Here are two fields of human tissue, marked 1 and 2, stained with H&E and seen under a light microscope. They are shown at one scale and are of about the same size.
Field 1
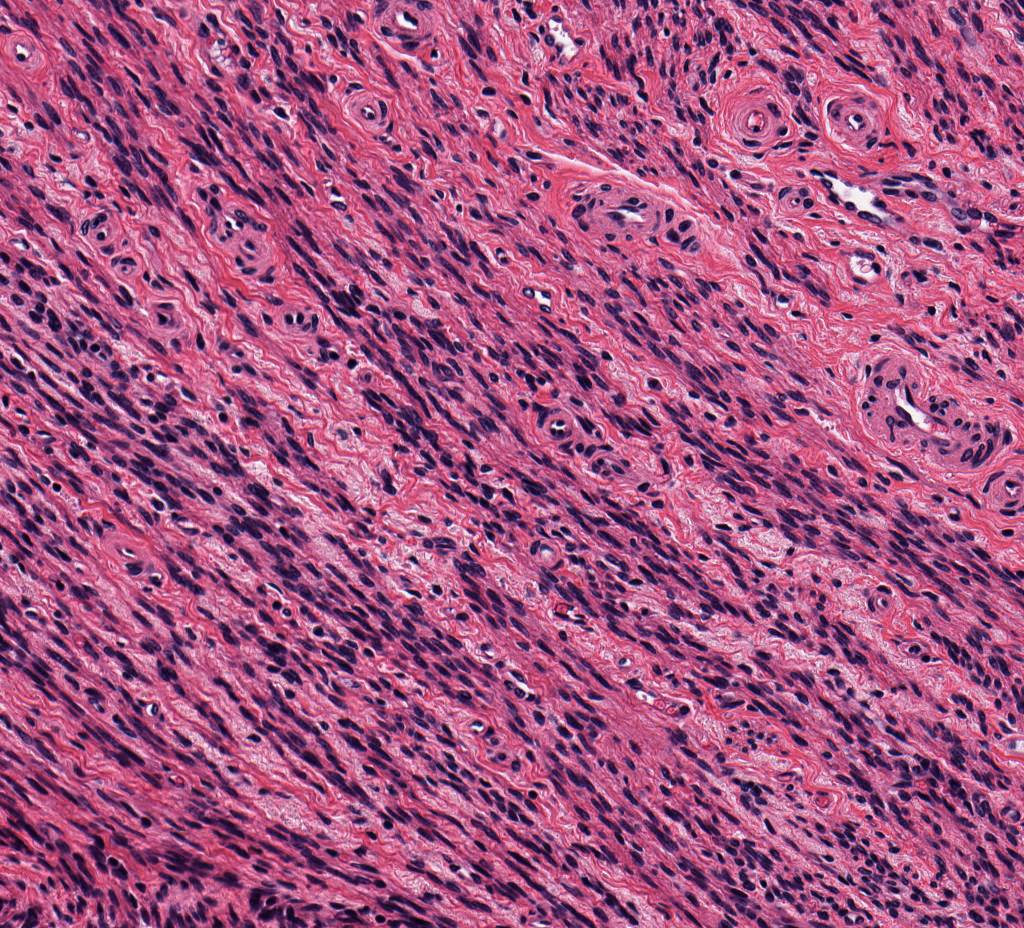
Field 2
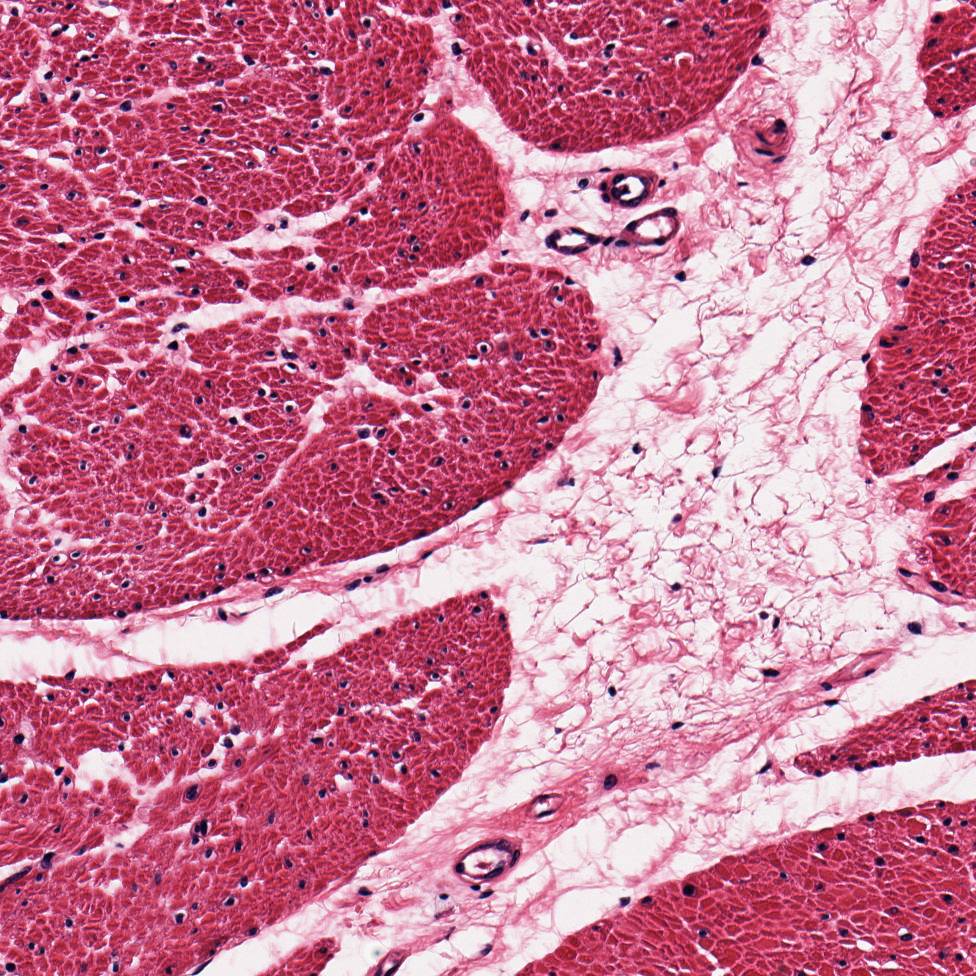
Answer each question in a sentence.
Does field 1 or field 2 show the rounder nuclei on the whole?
On the whole the nuclei of field 2 are rounder than those of field 1.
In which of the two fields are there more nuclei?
More nuclei lie in field 1 than in field 2.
